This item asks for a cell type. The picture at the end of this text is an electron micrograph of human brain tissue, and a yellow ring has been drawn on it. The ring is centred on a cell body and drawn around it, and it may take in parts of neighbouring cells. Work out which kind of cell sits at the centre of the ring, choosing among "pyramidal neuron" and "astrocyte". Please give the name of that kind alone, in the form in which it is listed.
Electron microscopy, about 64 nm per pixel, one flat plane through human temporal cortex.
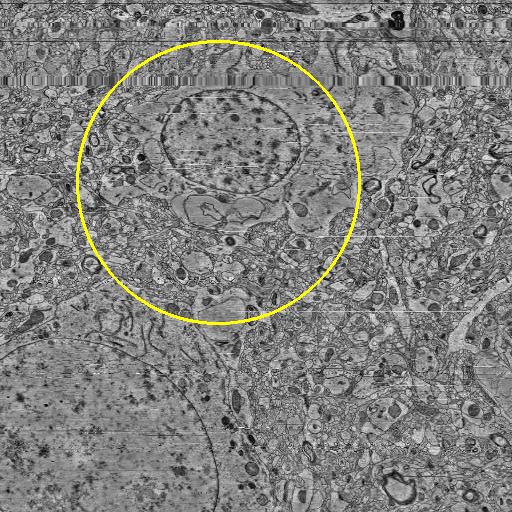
astrocyte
